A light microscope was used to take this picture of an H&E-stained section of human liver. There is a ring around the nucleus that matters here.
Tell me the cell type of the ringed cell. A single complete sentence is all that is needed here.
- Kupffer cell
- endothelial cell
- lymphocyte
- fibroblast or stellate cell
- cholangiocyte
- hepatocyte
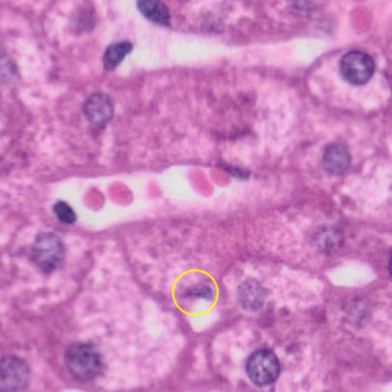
Labelled by cell type, the ringed cell is an endothelial cell.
